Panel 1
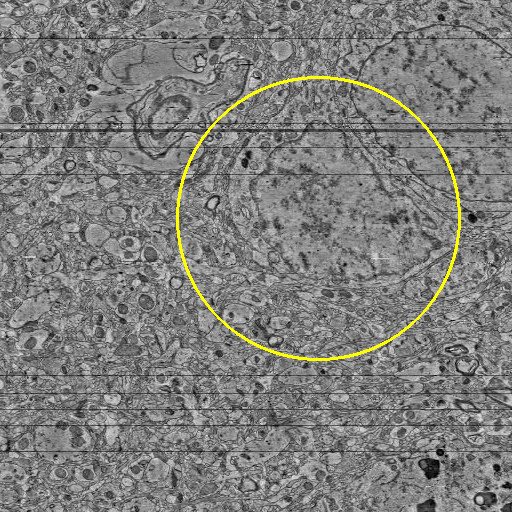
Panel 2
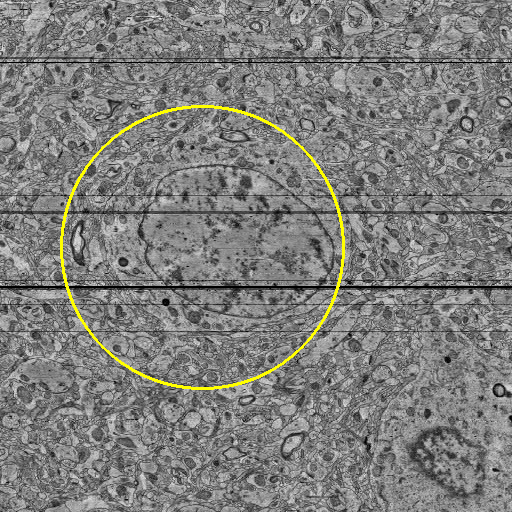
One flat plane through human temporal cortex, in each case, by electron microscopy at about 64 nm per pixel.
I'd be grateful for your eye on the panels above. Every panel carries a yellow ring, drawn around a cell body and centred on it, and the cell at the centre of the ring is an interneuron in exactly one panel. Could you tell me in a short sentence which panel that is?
Panel 1 is the one with it at the centre of the ring.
